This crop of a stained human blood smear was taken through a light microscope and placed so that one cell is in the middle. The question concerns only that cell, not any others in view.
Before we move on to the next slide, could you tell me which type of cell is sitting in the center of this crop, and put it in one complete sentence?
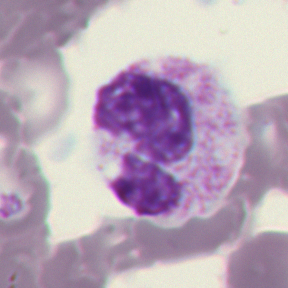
The cell centred in this crop is categorized as a segmented neutrophil.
